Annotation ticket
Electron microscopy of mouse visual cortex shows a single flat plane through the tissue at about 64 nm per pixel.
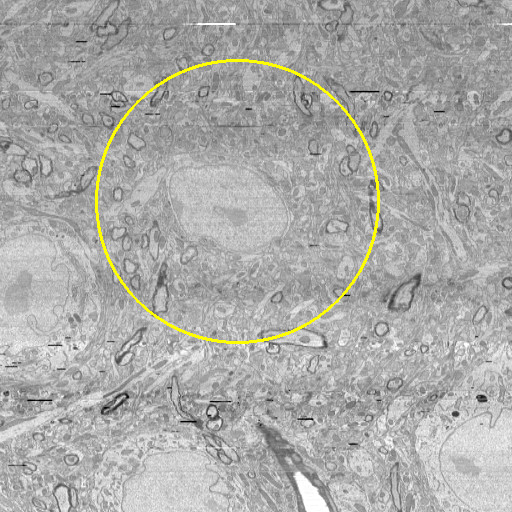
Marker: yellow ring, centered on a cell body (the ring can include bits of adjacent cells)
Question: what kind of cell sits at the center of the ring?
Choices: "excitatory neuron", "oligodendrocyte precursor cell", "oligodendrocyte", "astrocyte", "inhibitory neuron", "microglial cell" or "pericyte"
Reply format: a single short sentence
The ring is centered on an oligodendrocyte precursor cell.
